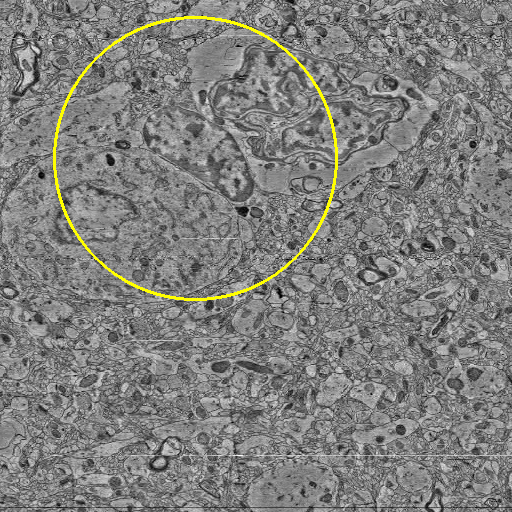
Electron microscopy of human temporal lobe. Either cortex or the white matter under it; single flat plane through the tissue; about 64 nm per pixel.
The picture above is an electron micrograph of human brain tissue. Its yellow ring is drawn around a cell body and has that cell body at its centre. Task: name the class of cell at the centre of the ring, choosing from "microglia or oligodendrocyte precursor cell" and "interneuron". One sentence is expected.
The ring surrounds the body of a microglial cell or oligodendrocyte precursor cell.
